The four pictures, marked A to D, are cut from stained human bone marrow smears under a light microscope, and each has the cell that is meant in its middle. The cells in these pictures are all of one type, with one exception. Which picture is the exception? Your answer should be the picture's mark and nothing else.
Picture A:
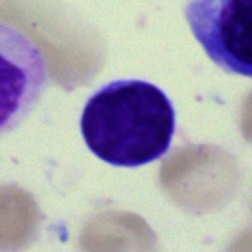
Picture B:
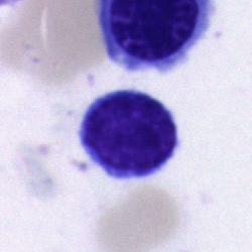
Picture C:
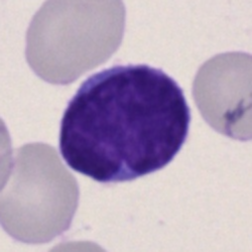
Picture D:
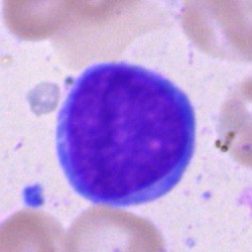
D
